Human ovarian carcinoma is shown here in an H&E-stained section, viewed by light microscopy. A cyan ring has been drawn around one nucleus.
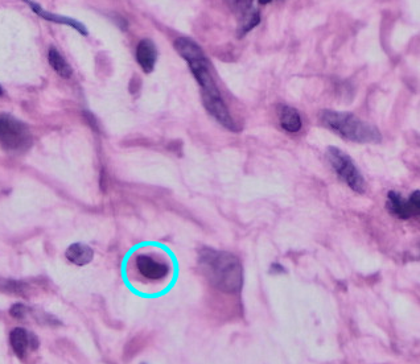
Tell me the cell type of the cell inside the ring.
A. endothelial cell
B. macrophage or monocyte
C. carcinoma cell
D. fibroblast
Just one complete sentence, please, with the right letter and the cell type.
Option B properly identifies the cell inside the ring as a macrophage or monocyte.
